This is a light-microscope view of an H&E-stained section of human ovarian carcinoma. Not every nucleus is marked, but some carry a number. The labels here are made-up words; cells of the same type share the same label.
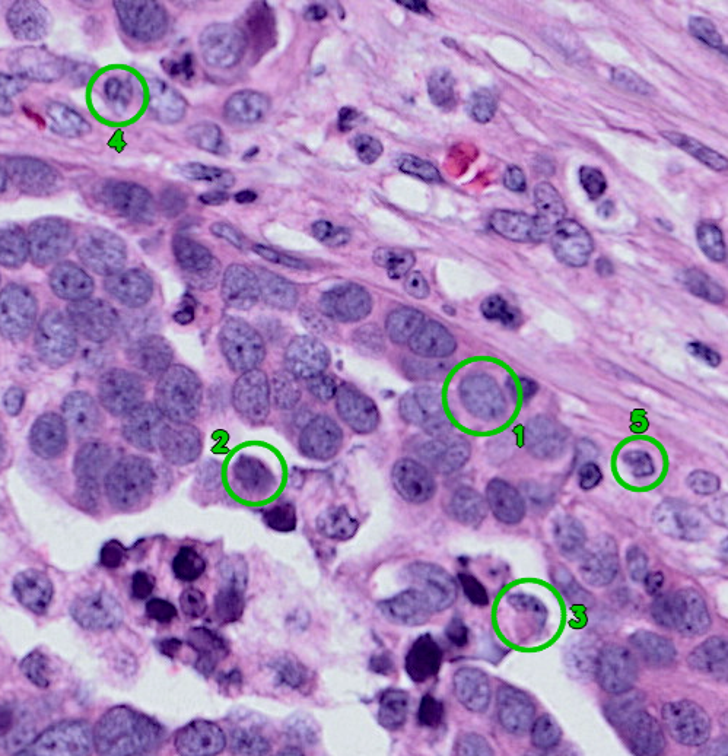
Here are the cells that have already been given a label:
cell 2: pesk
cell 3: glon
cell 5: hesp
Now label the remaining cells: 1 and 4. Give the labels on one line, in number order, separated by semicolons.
pesk; glon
